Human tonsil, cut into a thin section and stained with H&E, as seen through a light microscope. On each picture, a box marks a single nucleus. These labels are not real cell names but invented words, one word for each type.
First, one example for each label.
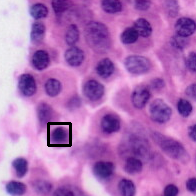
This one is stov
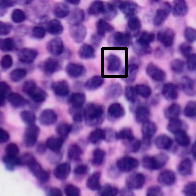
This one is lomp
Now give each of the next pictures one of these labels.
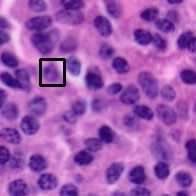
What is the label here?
stov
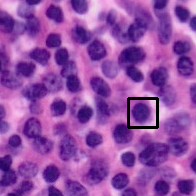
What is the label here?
stov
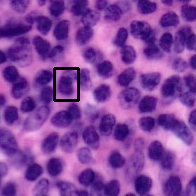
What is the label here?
lomp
